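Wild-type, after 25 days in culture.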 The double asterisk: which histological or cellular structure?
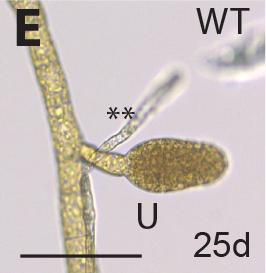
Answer: secondary rhizoid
